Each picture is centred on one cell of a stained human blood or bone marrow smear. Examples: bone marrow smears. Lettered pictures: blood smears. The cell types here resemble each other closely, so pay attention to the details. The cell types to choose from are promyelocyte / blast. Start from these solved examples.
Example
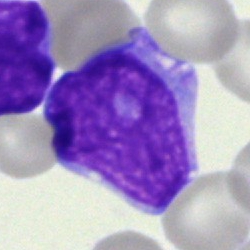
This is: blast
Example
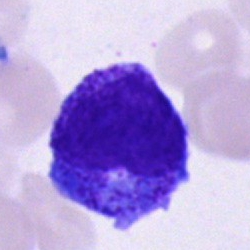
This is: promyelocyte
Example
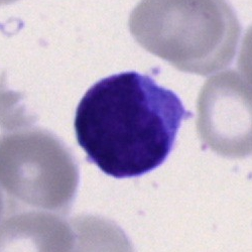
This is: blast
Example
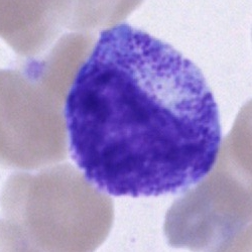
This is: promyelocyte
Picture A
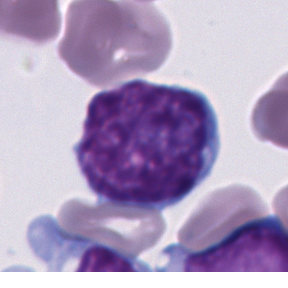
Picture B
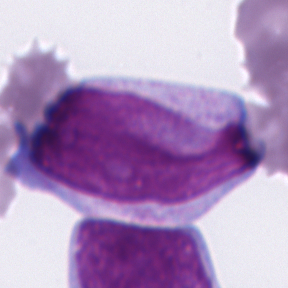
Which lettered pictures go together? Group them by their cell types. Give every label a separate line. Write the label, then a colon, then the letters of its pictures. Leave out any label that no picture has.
blast: A, B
